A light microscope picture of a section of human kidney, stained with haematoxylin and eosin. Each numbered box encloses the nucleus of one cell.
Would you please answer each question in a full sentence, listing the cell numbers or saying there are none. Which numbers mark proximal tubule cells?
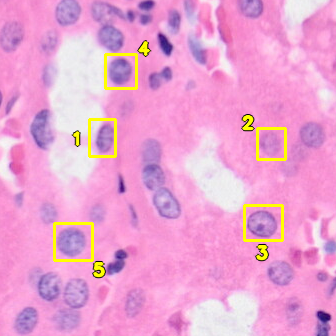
On this slide, the cells numbered 2 and 3 are proximal tubule cells.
